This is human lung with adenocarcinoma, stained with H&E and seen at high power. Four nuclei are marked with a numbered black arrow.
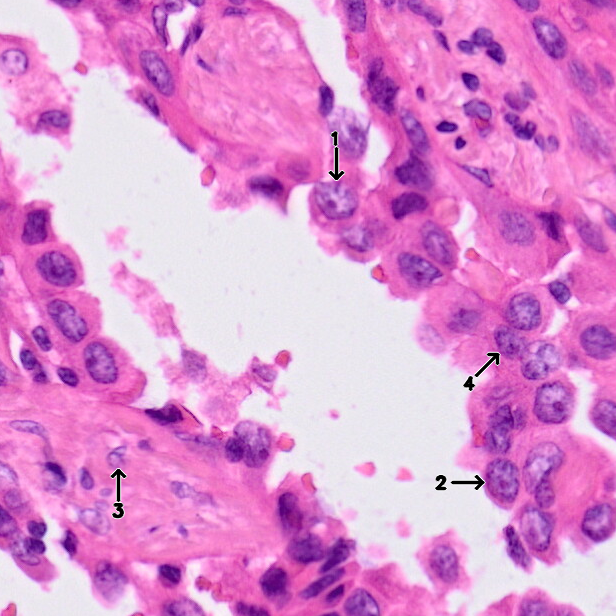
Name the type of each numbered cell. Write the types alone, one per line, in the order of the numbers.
carcinoma cell
carcinoma cell
fibroblast
carcinoma cell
